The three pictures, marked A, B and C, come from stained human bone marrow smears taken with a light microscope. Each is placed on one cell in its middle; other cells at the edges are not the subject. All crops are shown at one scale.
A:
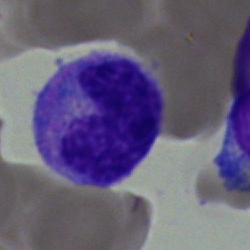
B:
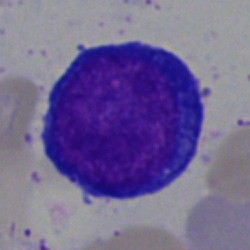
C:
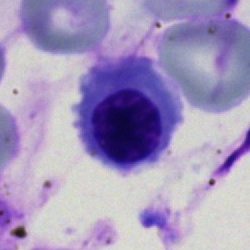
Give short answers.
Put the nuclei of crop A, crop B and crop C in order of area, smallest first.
C, A, B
